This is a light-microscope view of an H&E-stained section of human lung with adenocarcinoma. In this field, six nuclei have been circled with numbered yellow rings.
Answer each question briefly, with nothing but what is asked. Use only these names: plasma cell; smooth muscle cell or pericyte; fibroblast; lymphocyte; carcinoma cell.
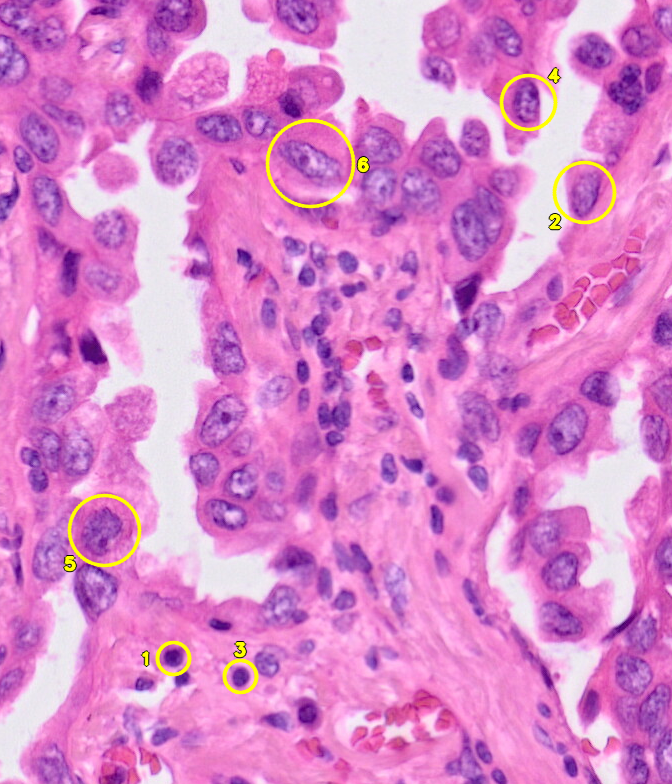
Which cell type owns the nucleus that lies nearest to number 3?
fibroblast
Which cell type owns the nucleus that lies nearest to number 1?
lymphocyte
